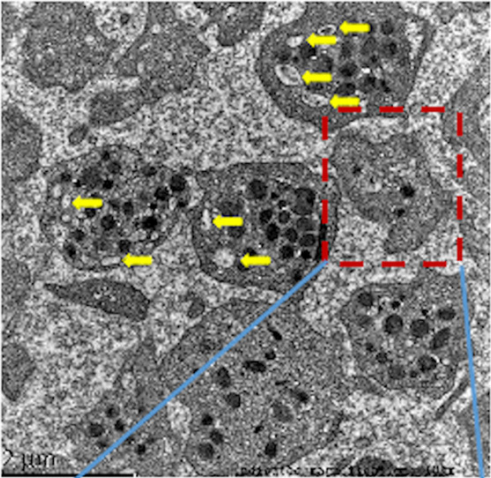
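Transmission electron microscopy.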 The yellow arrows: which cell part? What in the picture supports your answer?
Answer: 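Arrows point to pale, membrane-bound rounded spaces in the cytoplasm. These spaces lack the dark content of the neighbouring granules.
Answer: empty sacks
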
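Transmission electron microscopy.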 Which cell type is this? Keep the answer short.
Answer: Platelets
